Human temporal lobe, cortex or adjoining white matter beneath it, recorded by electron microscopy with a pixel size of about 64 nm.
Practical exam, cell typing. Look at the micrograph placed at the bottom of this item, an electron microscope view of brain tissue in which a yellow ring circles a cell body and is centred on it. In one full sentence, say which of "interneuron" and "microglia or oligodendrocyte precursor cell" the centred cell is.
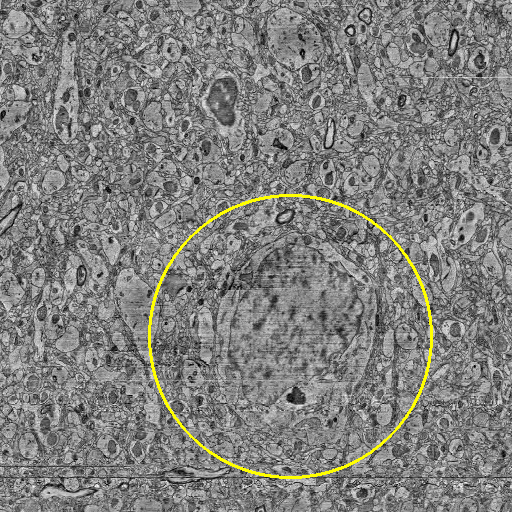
Given the options, an interneuron fits the cell whose body the yellow ring is centred on.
